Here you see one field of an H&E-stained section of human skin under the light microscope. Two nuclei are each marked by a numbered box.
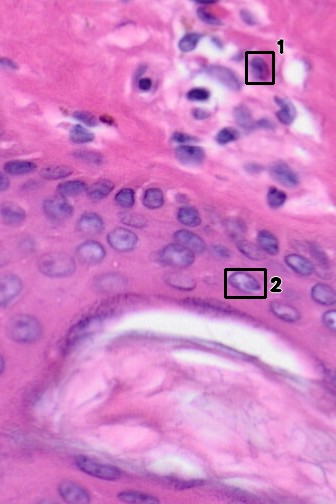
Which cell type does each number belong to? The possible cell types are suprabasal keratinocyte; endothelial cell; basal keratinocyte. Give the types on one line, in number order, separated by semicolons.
endothelial cell; suprabasal keratinocyte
